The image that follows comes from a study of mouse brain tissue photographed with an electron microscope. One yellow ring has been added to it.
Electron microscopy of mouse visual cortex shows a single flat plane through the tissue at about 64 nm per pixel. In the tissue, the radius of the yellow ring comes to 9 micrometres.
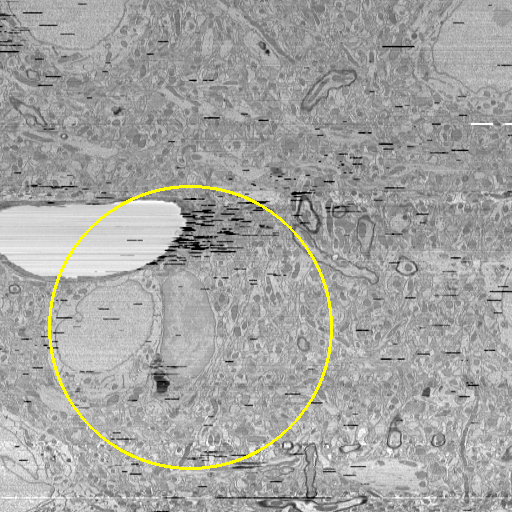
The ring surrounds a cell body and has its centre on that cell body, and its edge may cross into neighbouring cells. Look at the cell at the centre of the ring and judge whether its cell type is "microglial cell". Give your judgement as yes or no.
yes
